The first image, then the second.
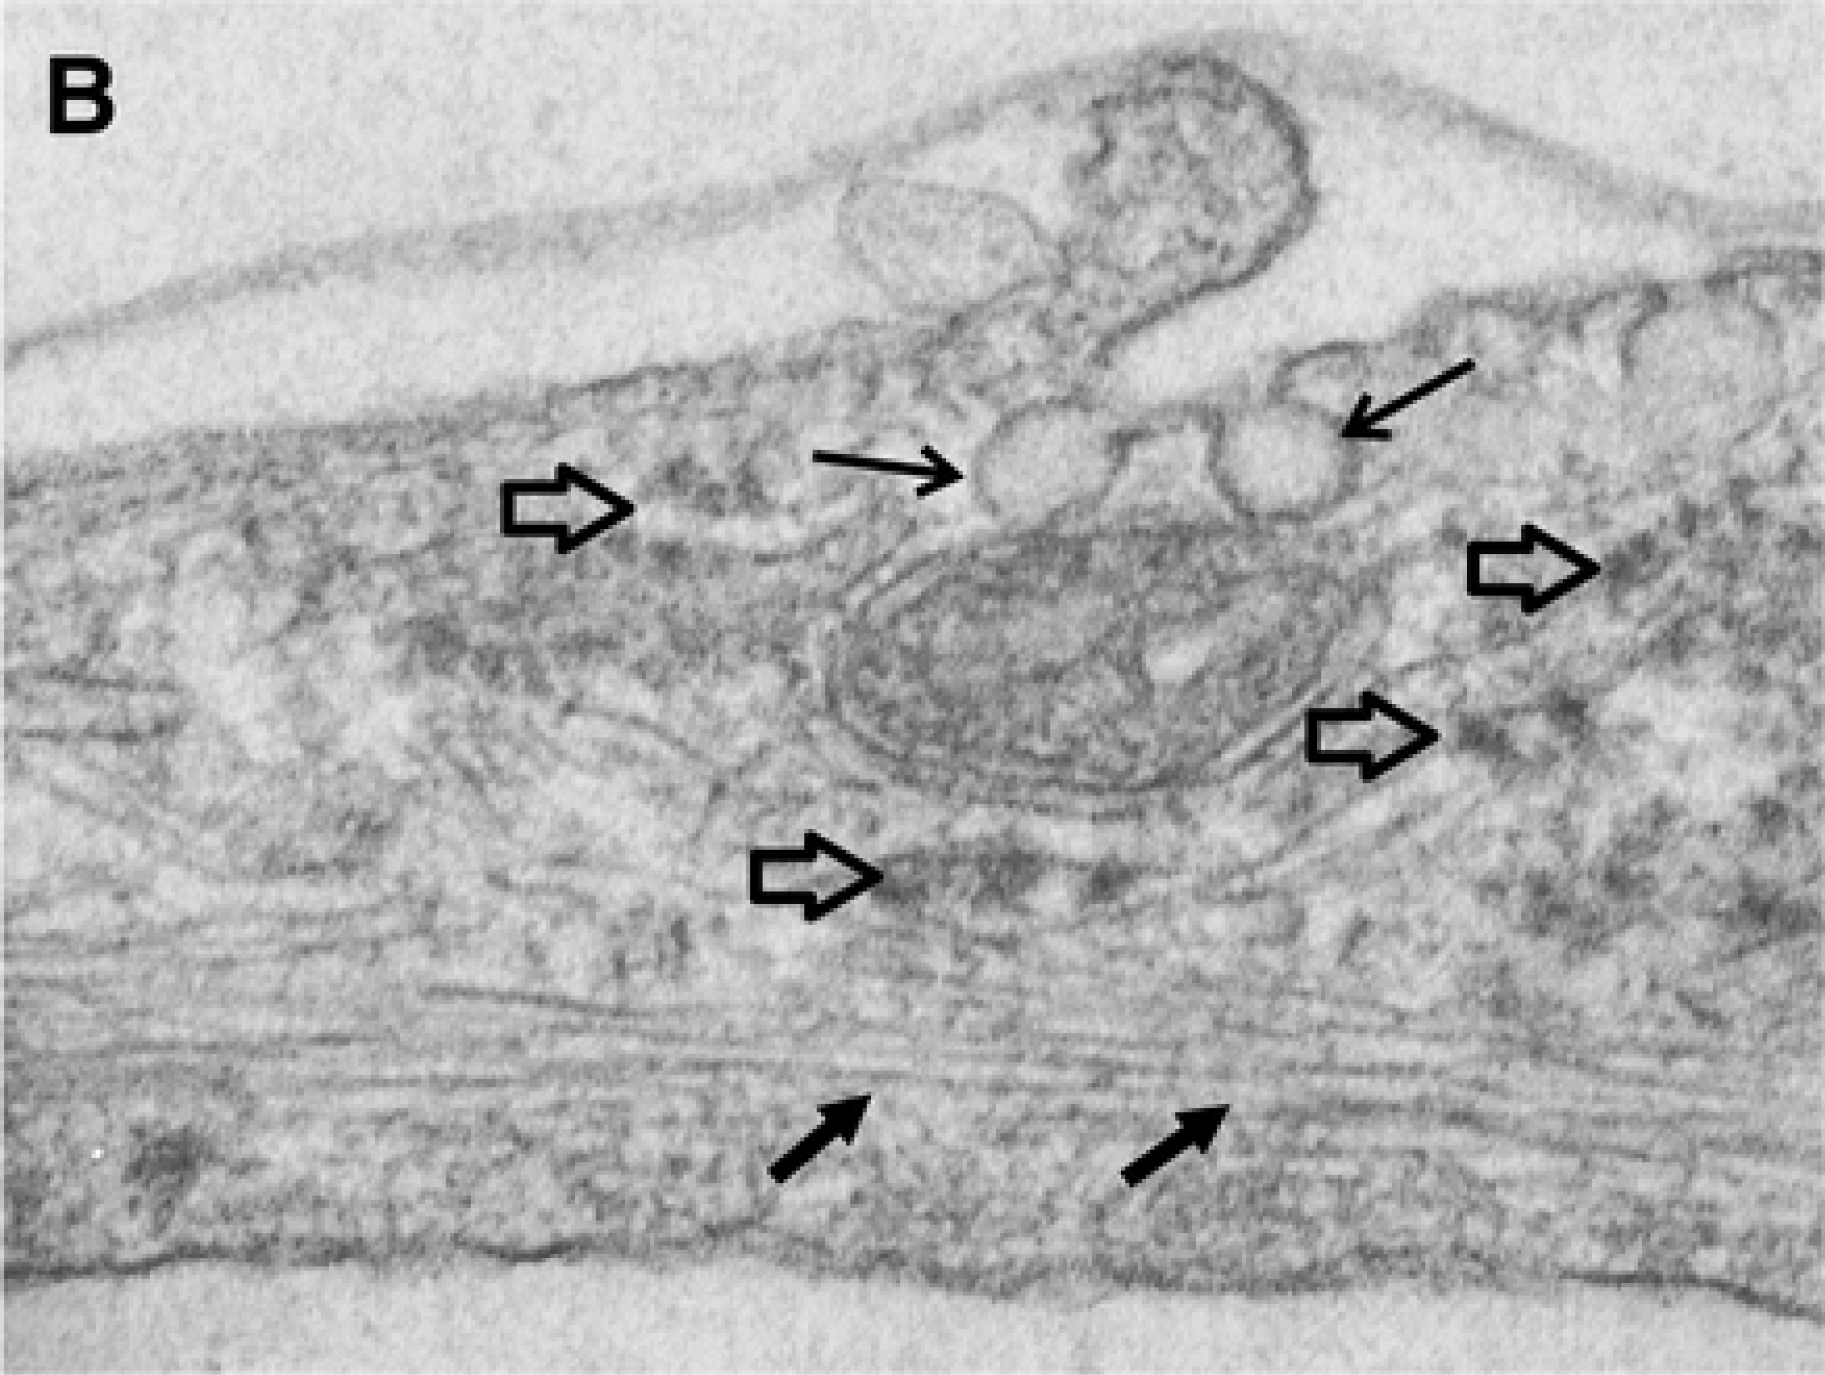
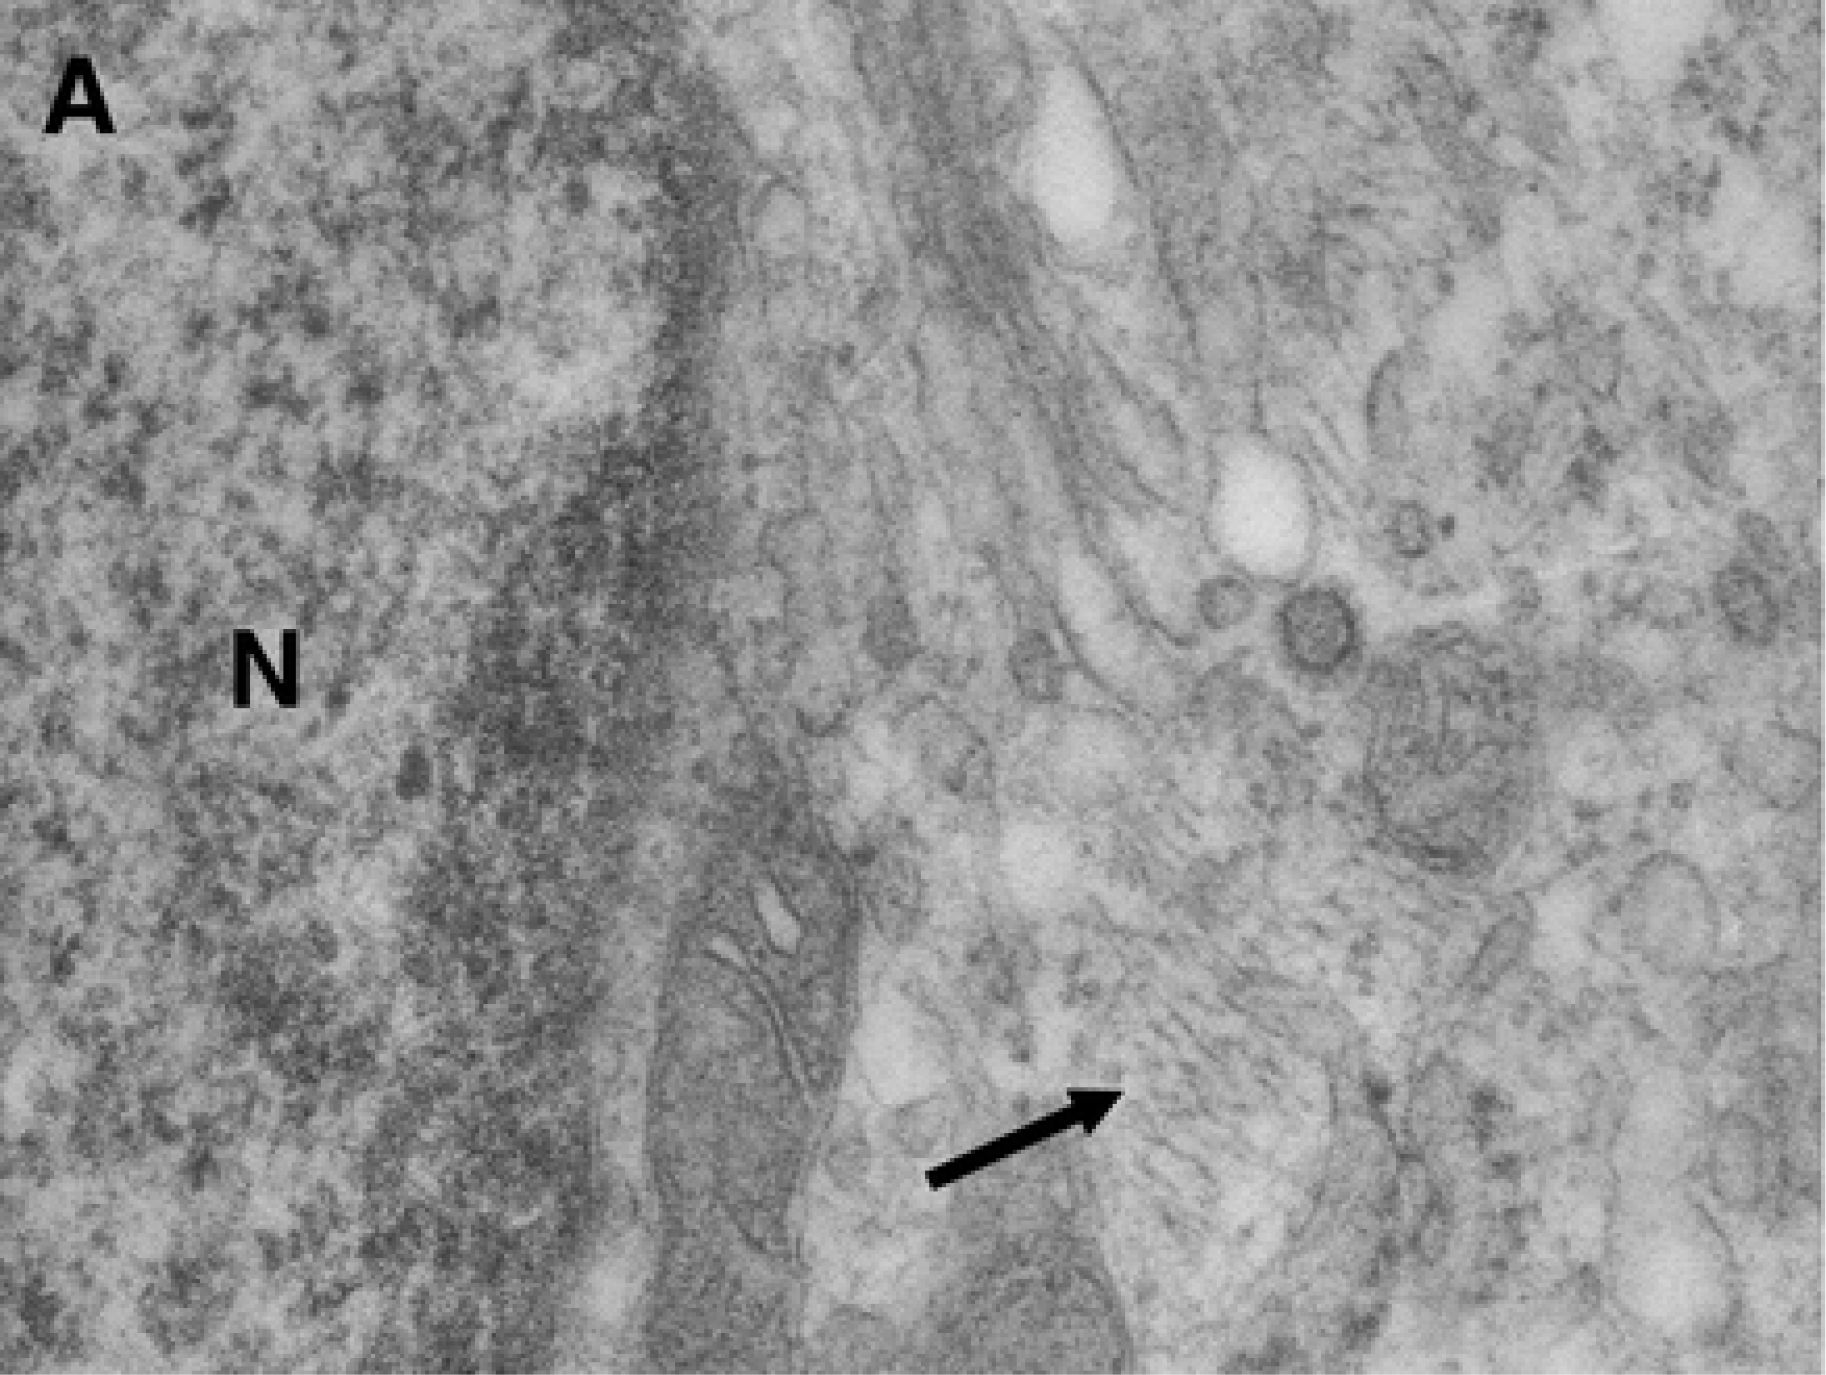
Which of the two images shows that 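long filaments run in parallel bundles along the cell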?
the first image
